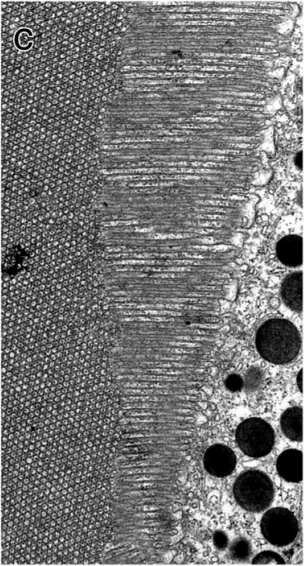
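A high-magnification electron micrograph of the rhabdom in longitudinal section, showing the microvilli of neighbouring photoreceptors. On the left the microvilli are cut across and form a regular honeycomb of small circular profiles. On the right, the microvilli of an adjacent photoreceptor run lengthwise as long, parallel, closely stacked tubes, at right angles to those on the left. Along the right edge lies photoreceptor cytoplasm containing large, dense, round granules.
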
